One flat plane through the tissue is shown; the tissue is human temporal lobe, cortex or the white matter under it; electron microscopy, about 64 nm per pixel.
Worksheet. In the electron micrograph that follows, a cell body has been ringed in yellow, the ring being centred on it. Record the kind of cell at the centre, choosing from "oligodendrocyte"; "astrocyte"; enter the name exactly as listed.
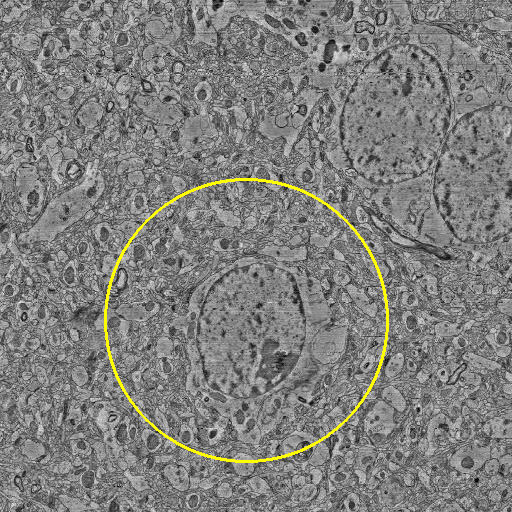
astrocyte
